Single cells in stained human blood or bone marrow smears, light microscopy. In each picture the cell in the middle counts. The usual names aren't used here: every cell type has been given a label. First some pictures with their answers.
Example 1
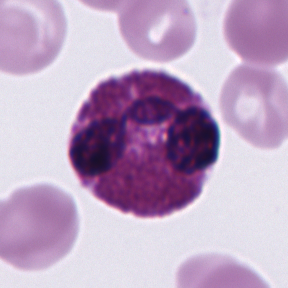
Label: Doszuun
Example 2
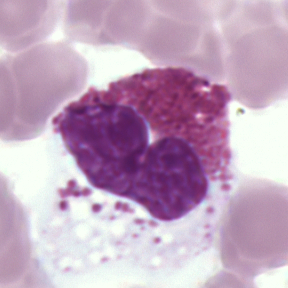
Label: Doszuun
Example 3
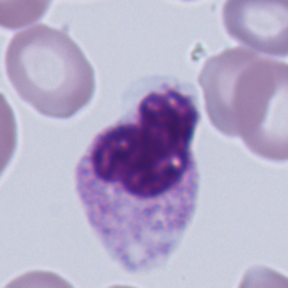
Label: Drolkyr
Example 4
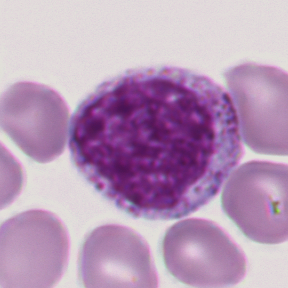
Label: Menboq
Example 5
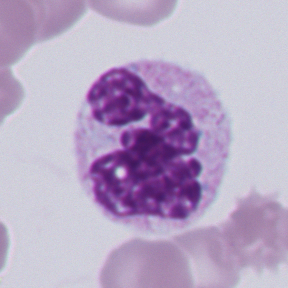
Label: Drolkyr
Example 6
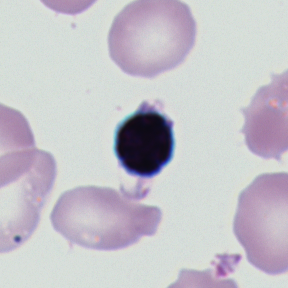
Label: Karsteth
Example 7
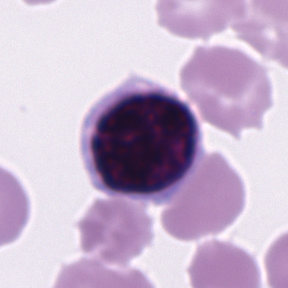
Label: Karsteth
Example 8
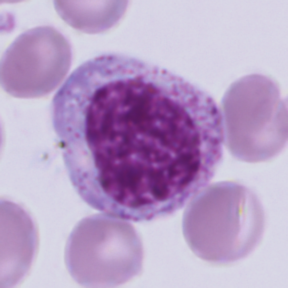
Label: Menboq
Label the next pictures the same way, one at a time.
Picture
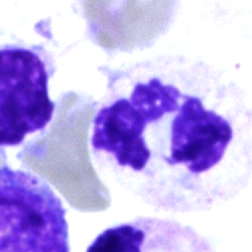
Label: Drolkyr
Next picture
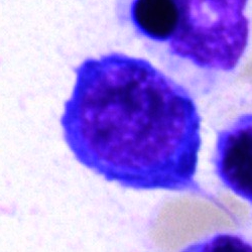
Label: Karsteth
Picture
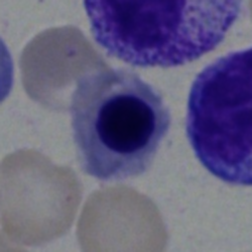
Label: Karsteth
